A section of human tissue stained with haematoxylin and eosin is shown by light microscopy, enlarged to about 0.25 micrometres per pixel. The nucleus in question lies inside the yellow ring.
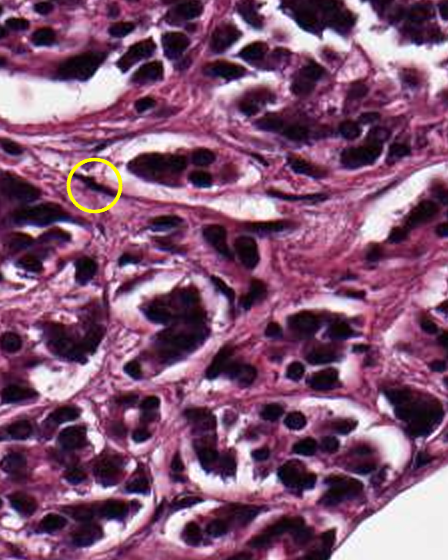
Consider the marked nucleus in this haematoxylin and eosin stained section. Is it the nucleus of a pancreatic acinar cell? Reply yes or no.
no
